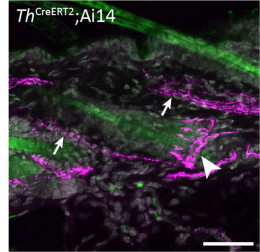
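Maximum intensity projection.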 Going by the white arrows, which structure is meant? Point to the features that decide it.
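Thin magenta fibers run through the dermis away from the follicle endings. The answer: sympathetic nerve fibers.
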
